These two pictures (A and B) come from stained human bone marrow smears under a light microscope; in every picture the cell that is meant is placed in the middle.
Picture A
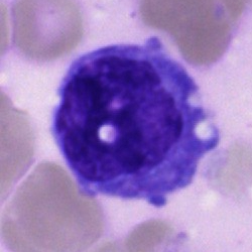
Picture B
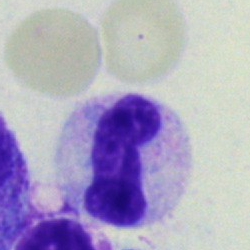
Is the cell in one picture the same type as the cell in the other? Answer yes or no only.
no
